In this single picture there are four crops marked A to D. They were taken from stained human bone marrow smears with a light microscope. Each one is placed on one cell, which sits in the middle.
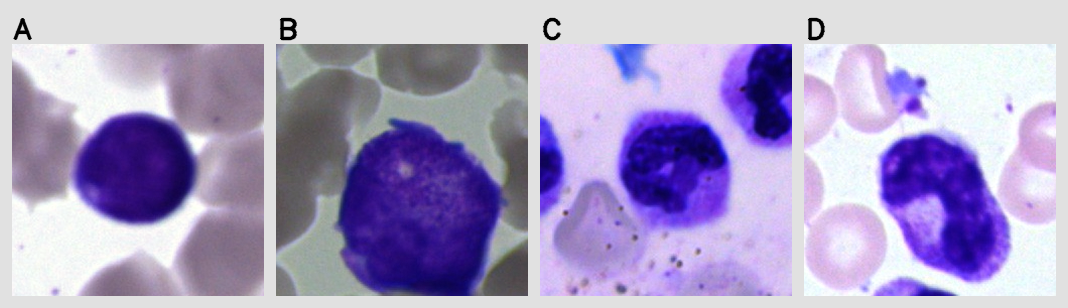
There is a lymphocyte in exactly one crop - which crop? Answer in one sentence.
The correct choice is crop A, the one showing a lymphocyte.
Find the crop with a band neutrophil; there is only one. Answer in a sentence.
Crop D is the crop containing a band neutrophil.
